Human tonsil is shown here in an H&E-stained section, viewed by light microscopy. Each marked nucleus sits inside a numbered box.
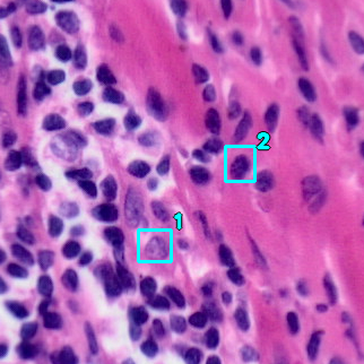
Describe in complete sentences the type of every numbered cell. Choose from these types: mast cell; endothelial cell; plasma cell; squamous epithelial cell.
Cell 1 is an endothelial cell and cell 2 is a mast cell.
